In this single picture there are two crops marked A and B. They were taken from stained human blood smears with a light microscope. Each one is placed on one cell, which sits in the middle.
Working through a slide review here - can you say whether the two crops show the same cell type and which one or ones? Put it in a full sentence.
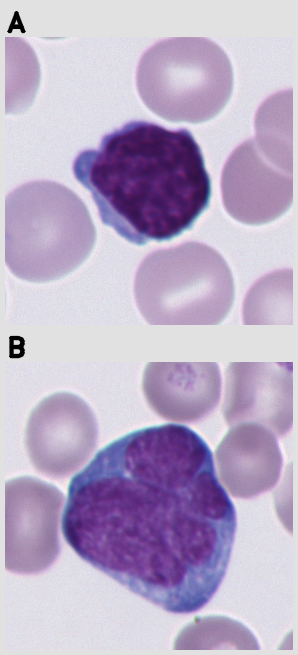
No, crop A is the one with a lymphocyte; crop B has a blast.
